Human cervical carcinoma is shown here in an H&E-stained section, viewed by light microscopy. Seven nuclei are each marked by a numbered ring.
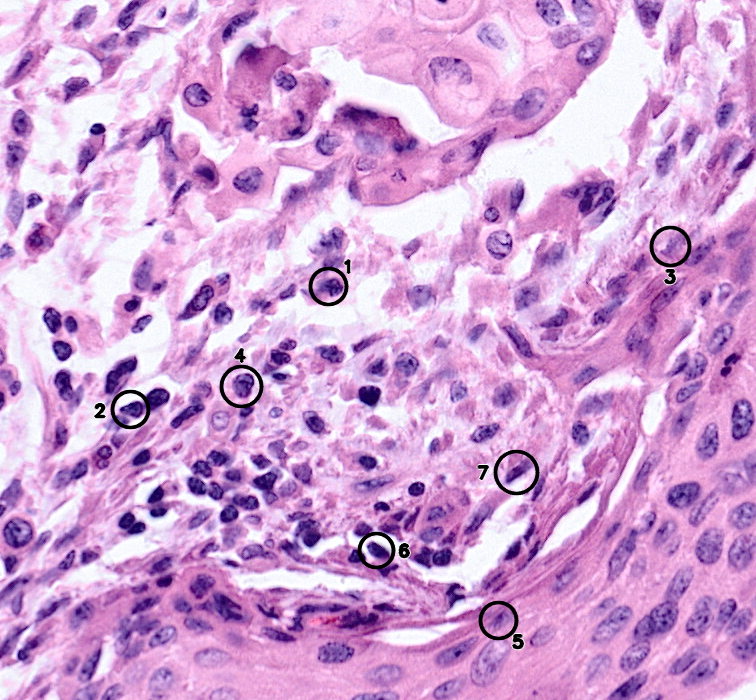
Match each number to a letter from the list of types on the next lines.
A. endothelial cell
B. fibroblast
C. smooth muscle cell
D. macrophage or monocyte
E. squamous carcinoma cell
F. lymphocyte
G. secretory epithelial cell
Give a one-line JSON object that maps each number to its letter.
{"1": "F", "2": "F", "3": "B", "4": "F", "5": "E", "6": "F", "7": "B"}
